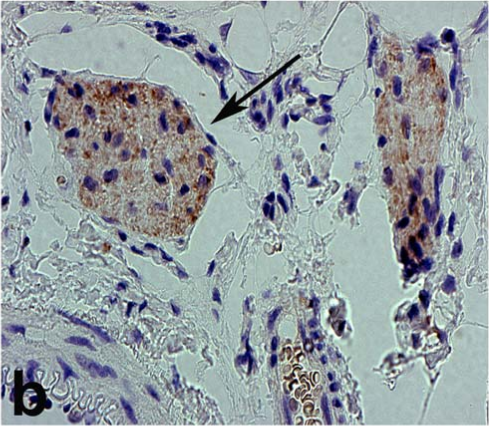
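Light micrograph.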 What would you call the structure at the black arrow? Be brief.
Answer: Nerve fibers.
